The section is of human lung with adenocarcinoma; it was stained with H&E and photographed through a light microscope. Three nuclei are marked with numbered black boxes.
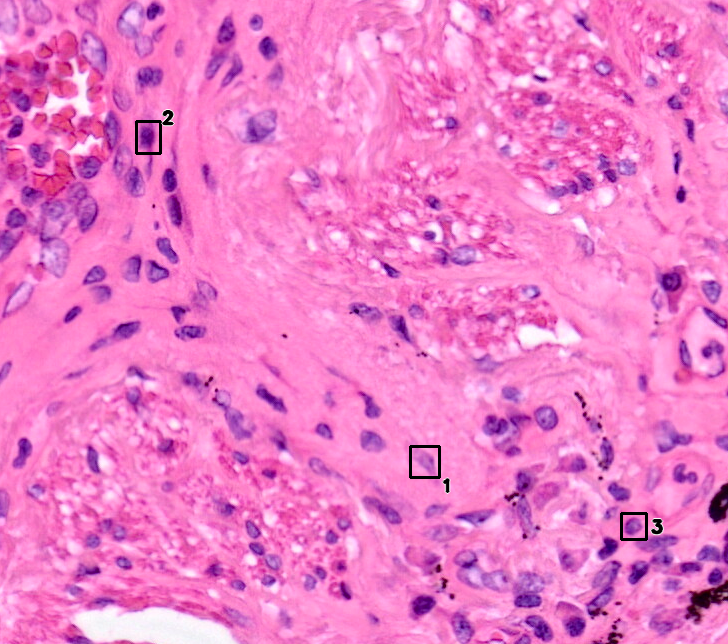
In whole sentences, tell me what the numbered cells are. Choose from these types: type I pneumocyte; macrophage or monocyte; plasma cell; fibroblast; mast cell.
Cell 1 is a fibroblast, cell 2 is a plasma cell and cell 3 is a mast cell.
